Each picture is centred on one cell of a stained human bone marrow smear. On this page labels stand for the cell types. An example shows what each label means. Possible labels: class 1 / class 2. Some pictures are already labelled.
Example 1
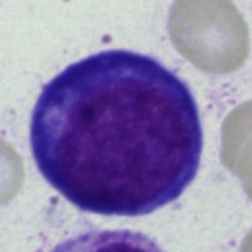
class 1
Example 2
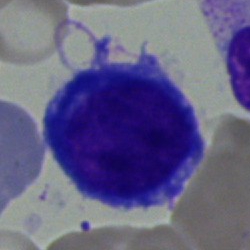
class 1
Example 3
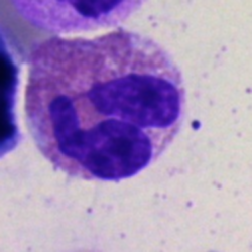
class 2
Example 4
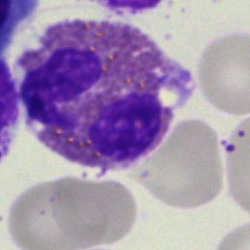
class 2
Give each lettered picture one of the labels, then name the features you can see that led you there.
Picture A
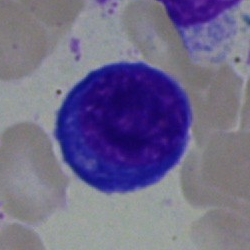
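class 1. The cytoplasm forms a narrow rim around the nucleus.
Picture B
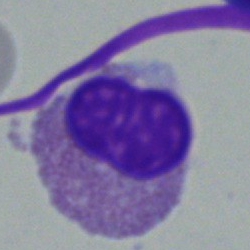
class 2. The cytoplasm is plentiful and pale lilac.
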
